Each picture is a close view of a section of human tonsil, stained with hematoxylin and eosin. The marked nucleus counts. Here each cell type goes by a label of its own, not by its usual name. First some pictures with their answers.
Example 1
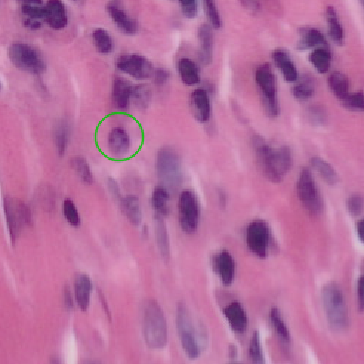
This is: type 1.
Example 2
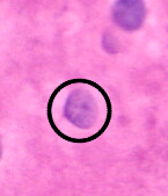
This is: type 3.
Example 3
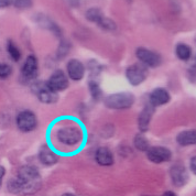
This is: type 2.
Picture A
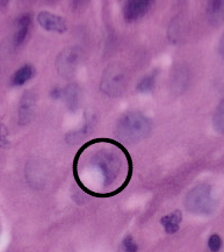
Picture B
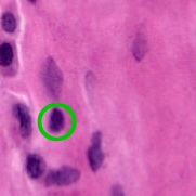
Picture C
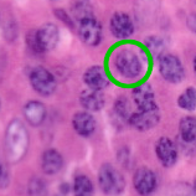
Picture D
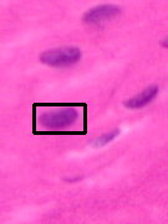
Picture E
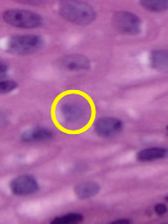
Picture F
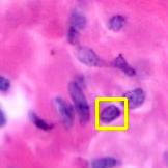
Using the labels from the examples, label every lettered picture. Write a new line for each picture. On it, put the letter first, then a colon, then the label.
A: type 3.
B: type 1.
C: type 2.
D: type 3.
E: type 3.
F: type 1.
